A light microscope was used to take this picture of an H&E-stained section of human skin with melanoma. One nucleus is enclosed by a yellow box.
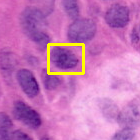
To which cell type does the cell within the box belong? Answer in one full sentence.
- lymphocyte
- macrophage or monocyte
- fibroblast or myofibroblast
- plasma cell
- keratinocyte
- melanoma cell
In the context of this tissue, the cell within the box is a keratinocyte.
